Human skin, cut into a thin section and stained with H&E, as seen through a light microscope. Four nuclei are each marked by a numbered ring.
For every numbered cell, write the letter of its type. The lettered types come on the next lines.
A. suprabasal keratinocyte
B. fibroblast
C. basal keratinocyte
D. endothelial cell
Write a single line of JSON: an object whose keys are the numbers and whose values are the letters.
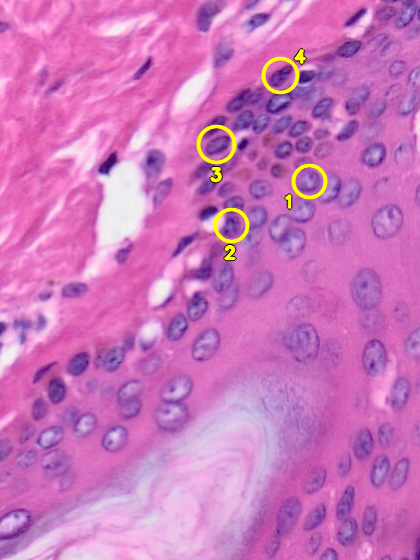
{"1": "A", "2": "C", "3": "C", "4": "C"}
